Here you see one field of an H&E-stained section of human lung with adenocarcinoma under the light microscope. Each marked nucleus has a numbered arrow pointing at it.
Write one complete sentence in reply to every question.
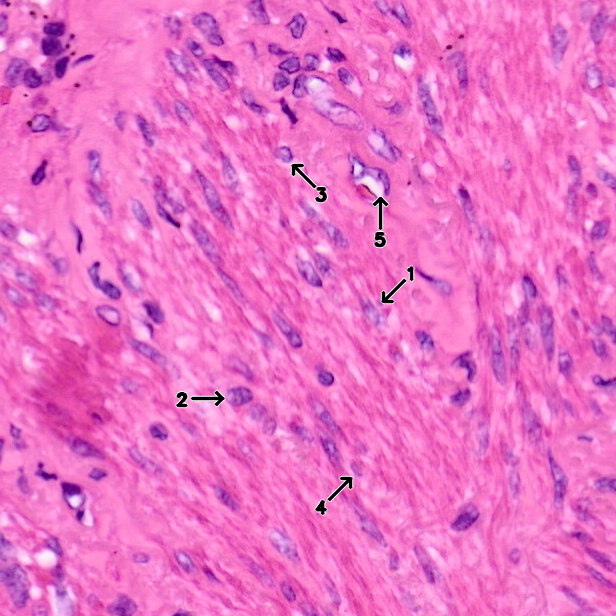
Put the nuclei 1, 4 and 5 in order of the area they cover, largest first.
Largest first, the order by area is 1, 5, 4.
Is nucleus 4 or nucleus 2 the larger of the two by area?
Nucleus 2 is the larger one, covering about 3 times the area of nucleus 4.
